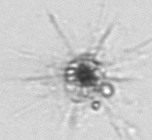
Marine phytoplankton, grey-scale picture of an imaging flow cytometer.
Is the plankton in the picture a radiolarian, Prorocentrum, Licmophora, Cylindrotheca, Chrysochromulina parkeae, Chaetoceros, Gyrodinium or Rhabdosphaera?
It is a radiolarian.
